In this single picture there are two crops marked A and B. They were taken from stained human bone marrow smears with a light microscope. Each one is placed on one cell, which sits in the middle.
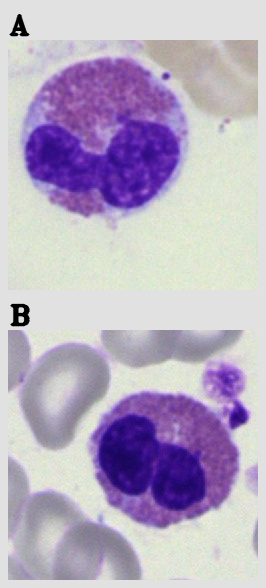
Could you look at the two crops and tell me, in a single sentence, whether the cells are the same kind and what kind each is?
Yes, the same answer goes for both crops, namely eosinophils.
